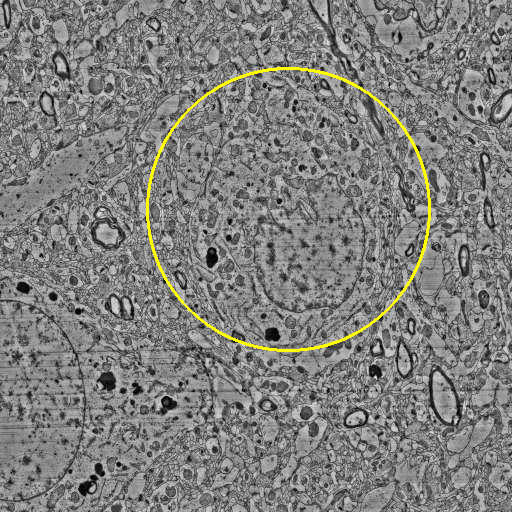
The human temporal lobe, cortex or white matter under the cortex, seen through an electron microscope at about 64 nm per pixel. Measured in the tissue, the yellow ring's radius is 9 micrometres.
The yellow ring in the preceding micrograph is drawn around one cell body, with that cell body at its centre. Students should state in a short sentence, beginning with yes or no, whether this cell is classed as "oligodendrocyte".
No, this cell is of another type.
